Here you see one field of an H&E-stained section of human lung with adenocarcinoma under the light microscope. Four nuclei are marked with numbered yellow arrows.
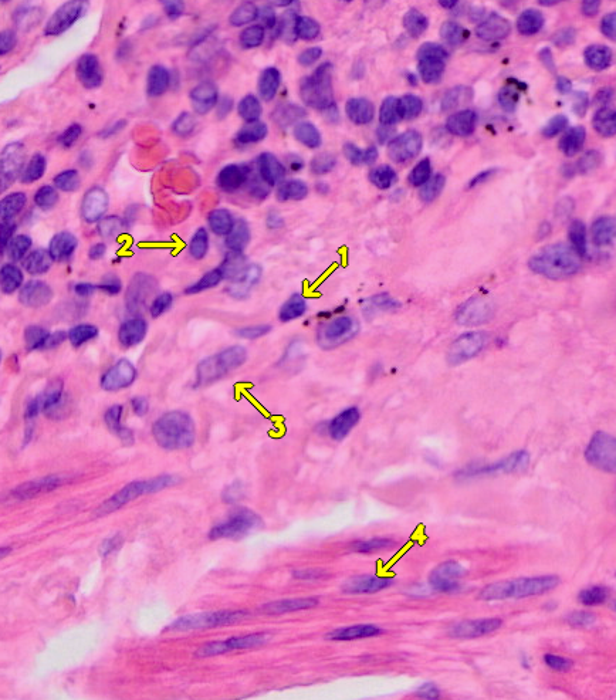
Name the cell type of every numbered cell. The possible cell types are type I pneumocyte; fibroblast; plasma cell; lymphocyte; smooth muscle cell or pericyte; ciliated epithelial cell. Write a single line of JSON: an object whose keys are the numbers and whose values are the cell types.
{"1": "lymphocyte", "2": "lymphocyte", "3": "fibroblast", "4": "smooth muscle cell or pericyte"}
